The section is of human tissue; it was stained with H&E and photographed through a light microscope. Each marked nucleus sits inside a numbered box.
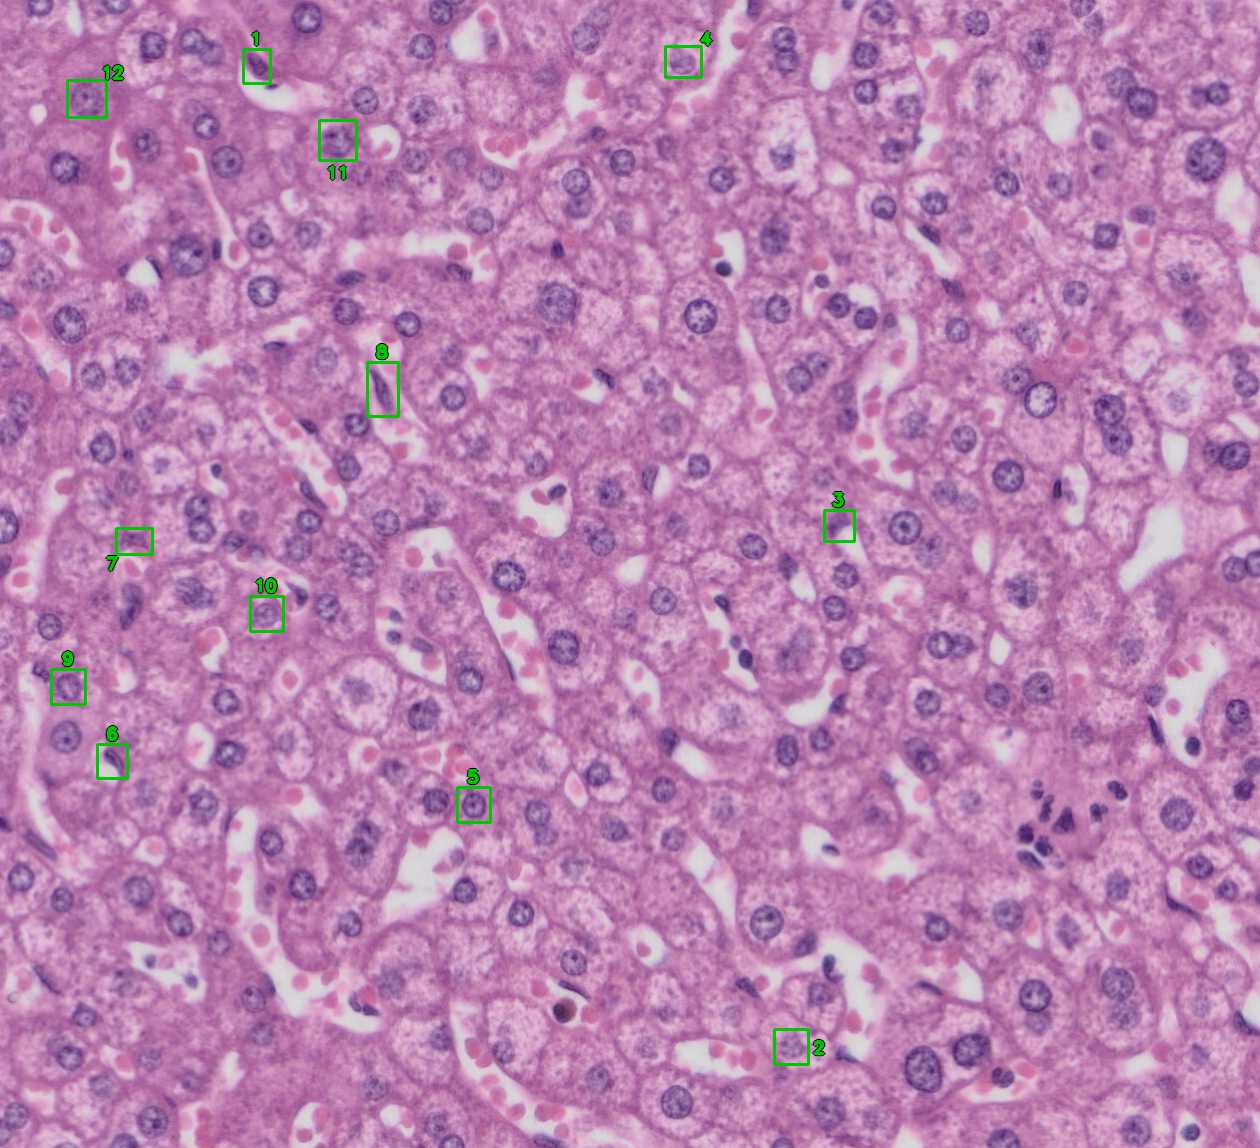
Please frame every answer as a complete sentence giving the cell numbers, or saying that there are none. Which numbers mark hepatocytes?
The cells that have been numbered 2, 4, 5, 9, 10, 11 and 12 are hepatocytes.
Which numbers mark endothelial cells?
The cells numbered 3, 6 and 7 are identified as endothelial cells.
